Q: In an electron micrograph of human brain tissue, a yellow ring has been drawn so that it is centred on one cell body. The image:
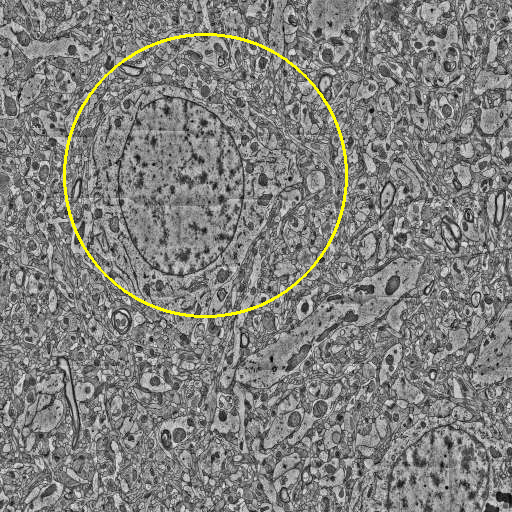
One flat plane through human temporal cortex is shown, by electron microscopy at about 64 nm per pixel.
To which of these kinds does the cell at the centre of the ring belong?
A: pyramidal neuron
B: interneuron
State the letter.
A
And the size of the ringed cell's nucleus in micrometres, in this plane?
The nucleus comes to roughly 11 by 8 micrometres in this plane.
